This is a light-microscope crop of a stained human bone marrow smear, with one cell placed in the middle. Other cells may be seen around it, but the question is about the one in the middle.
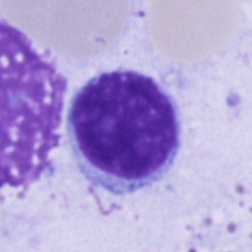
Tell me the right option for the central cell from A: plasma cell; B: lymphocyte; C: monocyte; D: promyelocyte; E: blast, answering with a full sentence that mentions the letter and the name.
The right choice is option B: the cell in the middle is a lymphocyte.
